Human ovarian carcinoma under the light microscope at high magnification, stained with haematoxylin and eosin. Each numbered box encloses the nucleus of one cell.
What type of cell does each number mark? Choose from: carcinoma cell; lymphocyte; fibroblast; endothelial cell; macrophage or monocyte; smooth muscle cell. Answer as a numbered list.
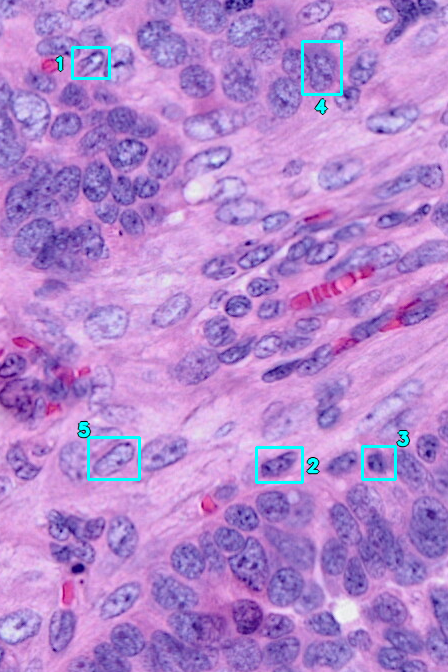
1. fibroblast
2. macrophage or monocyte
3. lymphocyte
4. carcinoma cell
5. fibroblast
